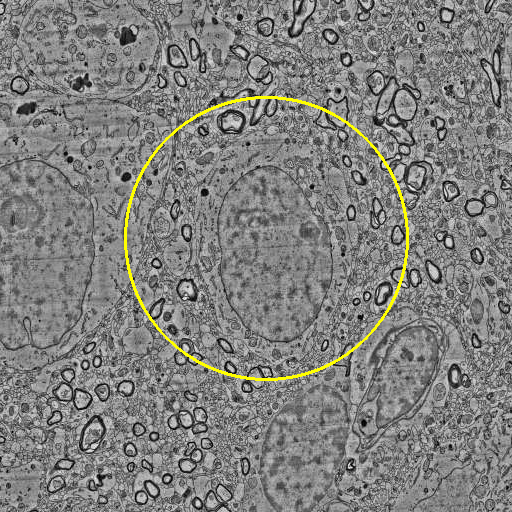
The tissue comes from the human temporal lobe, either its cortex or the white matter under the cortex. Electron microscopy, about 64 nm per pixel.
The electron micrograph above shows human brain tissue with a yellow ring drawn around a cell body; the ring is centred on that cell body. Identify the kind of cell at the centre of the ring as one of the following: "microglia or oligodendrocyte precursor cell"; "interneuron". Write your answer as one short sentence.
The cell at the centre of the ring is an interneuron.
